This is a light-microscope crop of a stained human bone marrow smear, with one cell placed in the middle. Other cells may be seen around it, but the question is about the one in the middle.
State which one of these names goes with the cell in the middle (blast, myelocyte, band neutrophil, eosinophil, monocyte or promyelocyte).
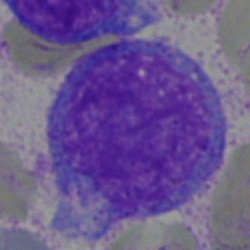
blast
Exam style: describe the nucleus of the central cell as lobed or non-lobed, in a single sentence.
Please observe that the nucleus consists of one compact round, oval or kidney-shaped mass.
